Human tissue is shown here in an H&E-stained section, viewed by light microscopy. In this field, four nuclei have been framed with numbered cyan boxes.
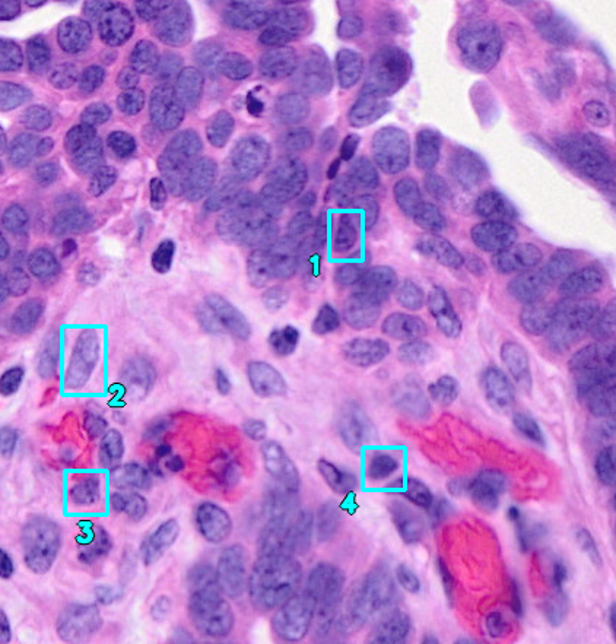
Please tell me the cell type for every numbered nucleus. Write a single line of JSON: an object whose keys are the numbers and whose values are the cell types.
{"1": "carcinoma cell", "2": "fibroblast", "3": "endothelial cell", "4": "lymphocyte"}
